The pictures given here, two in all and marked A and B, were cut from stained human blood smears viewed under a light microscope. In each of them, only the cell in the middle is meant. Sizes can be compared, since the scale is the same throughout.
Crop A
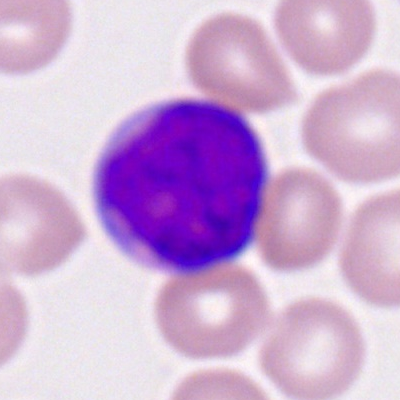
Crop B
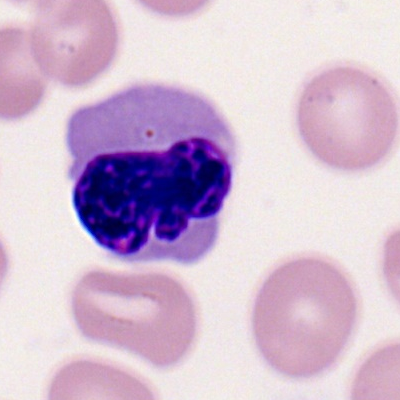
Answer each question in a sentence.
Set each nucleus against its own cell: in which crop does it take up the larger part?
Of the two, the nucleus in crop A makes up the greater part of its cell.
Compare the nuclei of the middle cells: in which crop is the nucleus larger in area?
Larger is the nucleus in crop A, at roughly 1.5 times the area of the other.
